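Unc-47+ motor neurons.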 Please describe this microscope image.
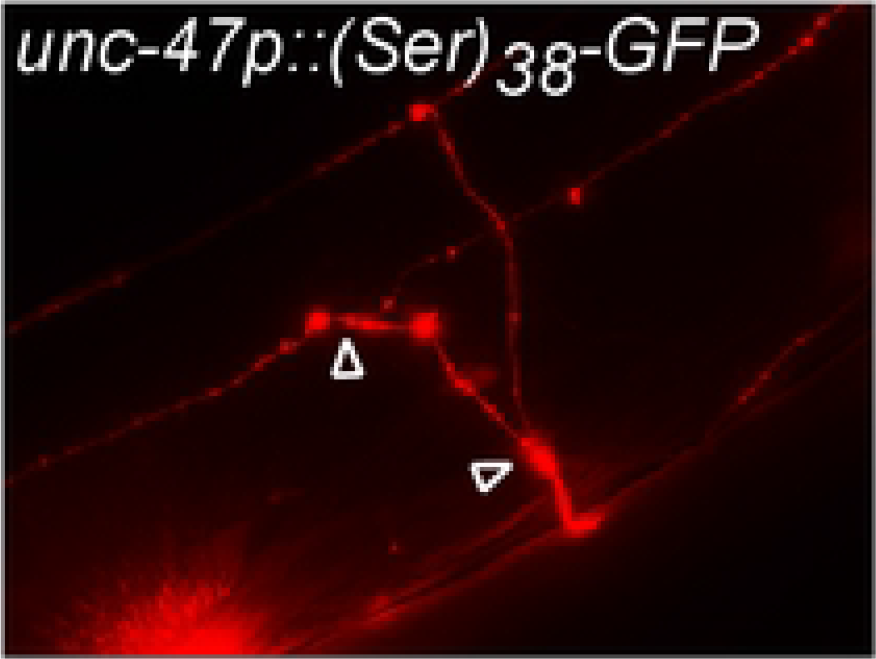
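At a few points the processes split or turn sharply, forming short angled side segments. Faint longitudinal lines run along the upper part of the field, and a diffuse bright glow lies at the lower left corner.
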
